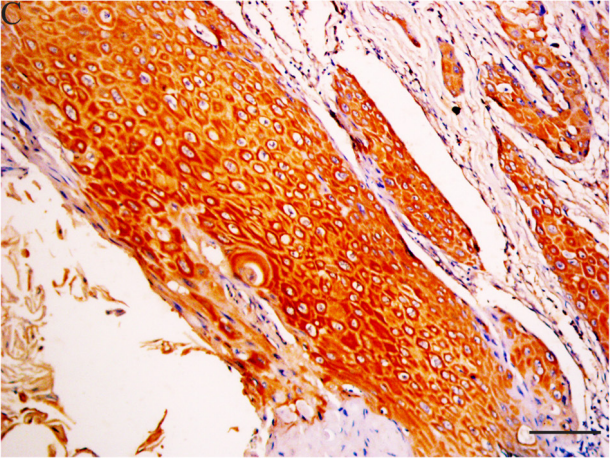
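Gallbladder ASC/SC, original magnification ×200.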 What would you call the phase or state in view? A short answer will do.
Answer: well-differentiated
